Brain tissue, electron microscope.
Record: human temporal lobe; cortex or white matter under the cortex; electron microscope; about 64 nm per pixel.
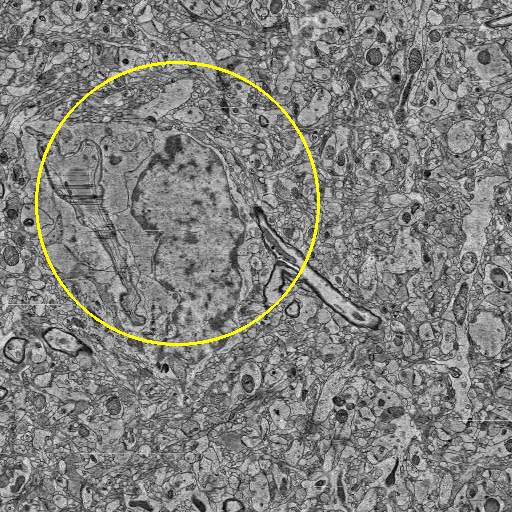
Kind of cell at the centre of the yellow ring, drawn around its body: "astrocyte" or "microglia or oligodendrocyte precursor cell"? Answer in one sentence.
The ring's centre falls on a microglial cell or oligodendrocyte precursor cell.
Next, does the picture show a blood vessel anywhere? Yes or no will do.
Yes.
